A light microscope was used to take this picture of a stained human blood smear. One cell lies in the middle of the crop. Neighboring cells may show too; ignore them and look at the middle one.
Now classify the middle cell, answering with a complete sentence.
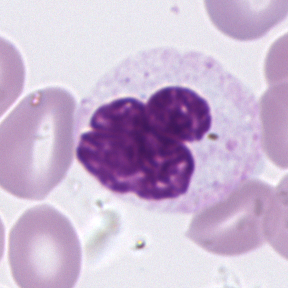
Classified as a neutrophil is the cell in the middle of this crop.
